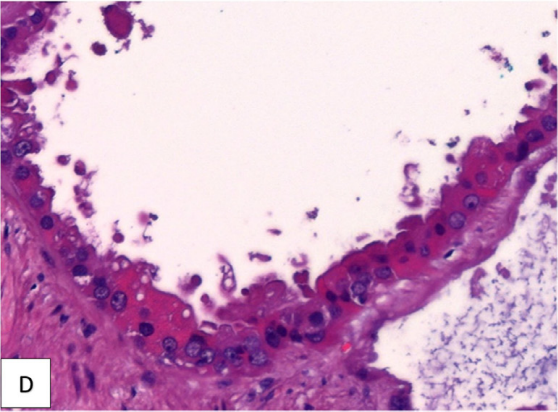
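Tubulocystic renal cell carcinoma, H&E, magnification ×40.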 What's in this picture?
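A cyst of the tumor is lined by a single layer of epithelial cells with abundant, deeply eosinophilic, pink cytoplasm. The lining cells are cuboidal to somewhat flattened and have large round nuclei with pale, open chromatin, some with a visible nucleolus. Fragments of cells and pale material lie free in the cyst lumen. A thin band of stroma runs beneath the lining, and a neighbouring space with faint bluish contents lies at the lower right.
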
